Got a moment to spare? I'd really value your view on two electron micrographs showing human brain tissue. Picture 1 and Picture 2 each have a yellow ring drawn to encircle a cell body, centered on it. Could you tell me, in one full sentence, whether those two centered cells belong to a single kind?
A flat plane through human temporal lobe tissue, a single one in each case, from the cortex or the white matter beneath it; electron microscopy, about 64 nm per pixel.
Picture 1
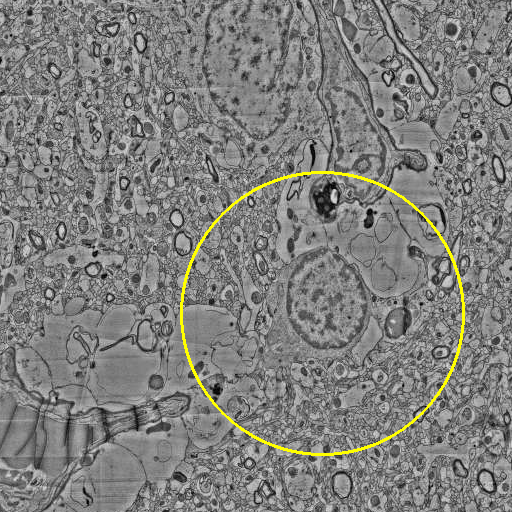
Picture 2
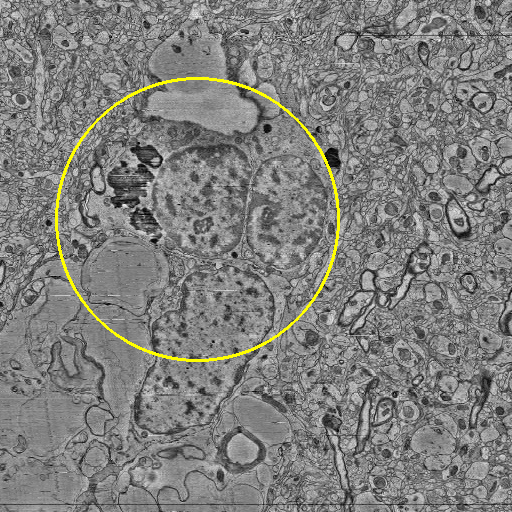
Yes, the two centered cells in Picture 1 and Picture 2 are of a single kind.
